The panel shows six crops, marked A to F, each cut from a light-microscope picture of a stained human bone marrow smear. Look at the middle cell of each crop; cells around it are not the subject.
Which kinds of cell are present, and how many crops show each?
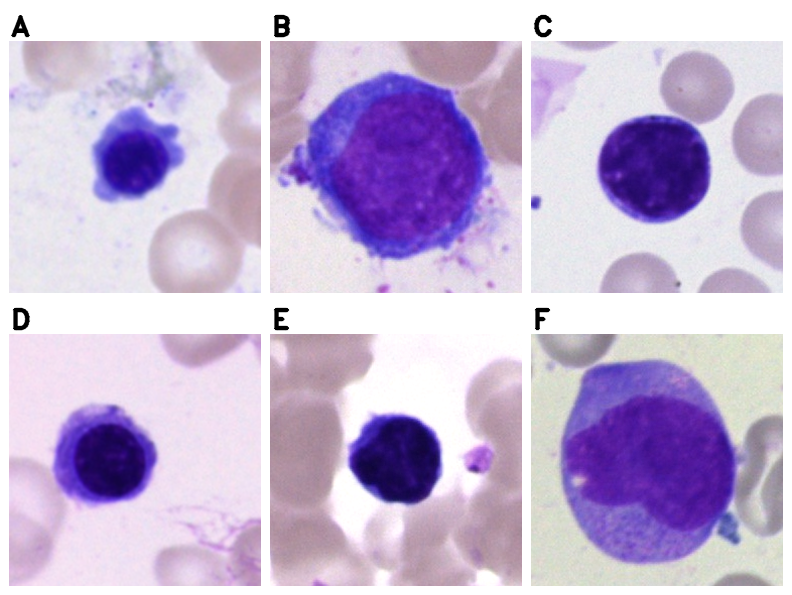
erythroblast: 2
blast: 2
lymphocyte: 2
